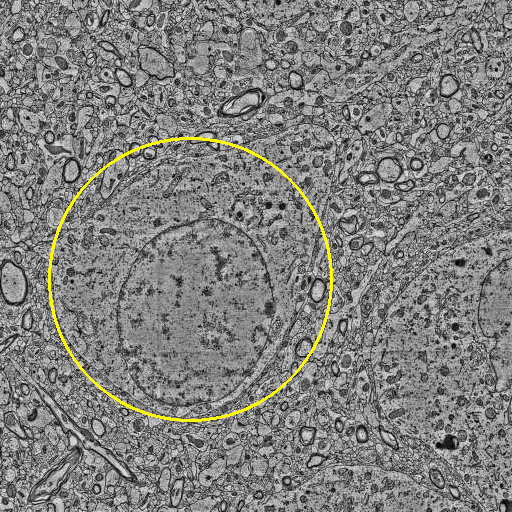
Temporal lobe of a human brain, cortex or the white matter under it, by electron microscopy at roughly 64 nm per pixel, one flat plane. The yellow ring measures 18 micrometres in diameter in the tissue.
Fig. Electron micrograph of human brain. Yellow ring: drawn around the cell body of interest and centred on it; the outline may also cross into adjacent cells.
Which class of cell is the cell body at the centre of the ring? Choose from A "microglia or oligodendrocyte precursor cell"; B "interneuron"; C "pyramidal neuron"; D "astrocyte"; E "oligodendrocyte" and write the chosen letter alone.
C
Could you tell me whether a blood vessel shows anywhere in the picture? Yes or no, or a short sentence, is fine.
No, no vessel shows anywhere in the image.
